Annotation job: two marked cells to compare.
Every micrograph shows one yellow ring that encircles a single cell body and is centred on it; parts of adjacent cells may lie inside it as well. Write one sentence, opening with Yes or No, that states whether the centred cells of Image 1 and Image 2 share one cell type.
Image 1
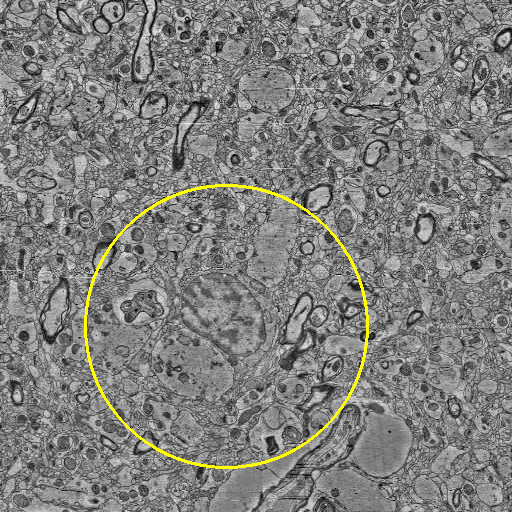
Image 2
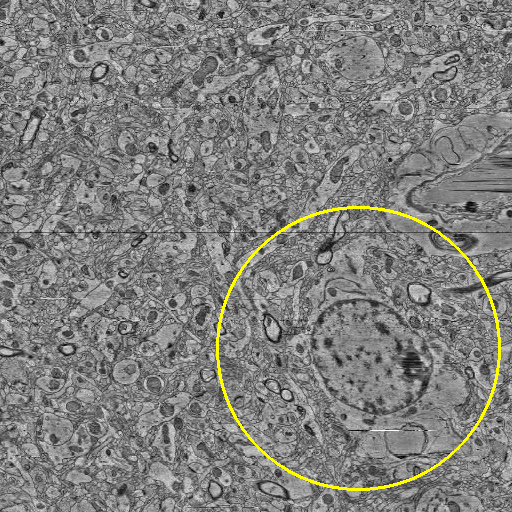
No, the cell centred in Image 1 and the cell centred in Image 2 are of two types.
